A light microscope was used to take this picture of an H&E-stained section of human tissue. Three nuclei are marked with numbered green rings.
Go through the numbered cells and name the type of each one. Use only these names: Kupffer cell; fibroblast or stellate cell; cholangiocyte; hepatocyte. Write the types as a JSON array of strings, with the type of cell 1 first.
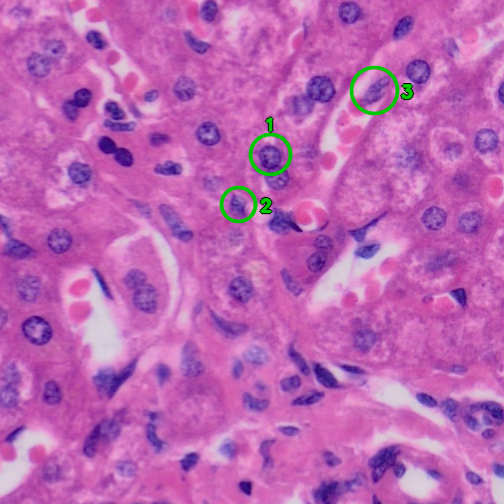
["hepatocyte", "fibroblast or stellate cell", "Kupffer cell"]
